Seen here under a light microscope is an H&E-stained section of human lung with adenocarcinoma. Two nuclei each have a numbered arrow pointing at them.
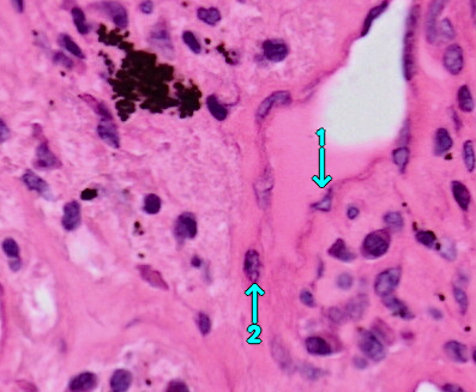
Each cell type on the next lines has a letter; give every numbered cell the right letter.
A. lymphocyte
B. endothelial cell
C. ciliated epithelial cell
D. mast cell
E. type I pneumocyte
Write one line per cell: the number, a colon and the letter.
1: B
2: D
